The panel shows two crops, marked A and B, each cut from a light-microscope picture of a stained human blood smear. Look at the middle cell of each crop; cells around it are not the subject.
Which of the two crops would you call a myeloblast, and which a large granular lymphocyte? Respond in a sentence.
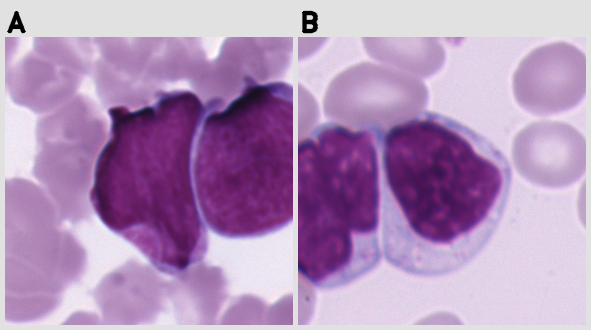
The cell at the centre of crop A is a myeloblast, and at the centre of crop B, a large granular lymphocyte.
